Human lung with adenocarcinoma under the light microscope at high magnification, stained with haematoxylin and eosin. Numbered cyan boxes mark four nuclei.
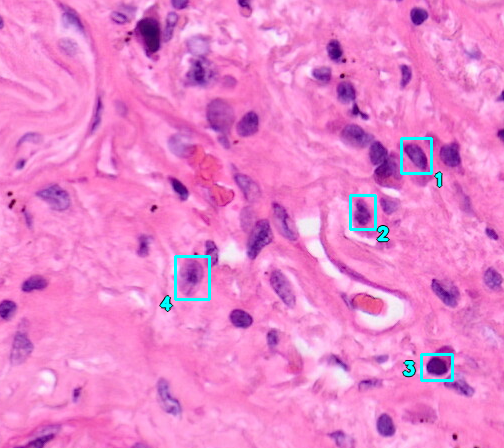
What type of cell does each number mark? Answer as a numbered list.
1. plasma cell
2. plasma cell
3. plasma cell
4. fibroblast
